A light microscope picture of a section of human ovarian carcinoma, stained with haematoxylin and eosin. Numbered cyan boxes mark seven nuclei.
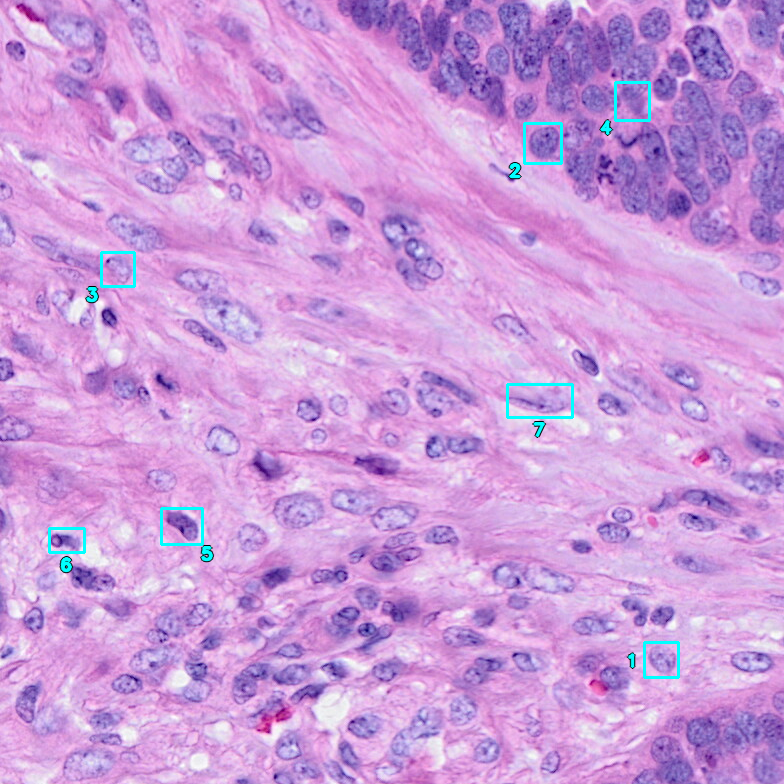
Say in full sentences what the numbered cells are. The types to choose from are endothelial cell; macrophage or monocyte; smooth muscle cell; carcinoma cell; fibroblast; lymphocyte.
Cell 1 is a fibroblast, cell 2 is a carcinoma cell, cell 3 is a fibroblast, cell 4 is a carcinoma cell, cell 5 is a macrophage or monocyte, cell 6 is a macrophage or monocyte and cell 7 is a fibroblast.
